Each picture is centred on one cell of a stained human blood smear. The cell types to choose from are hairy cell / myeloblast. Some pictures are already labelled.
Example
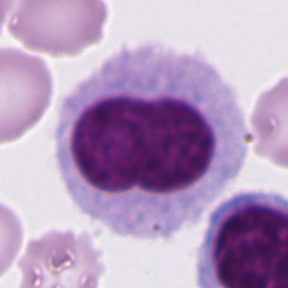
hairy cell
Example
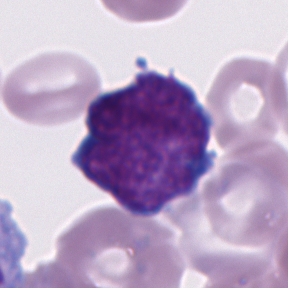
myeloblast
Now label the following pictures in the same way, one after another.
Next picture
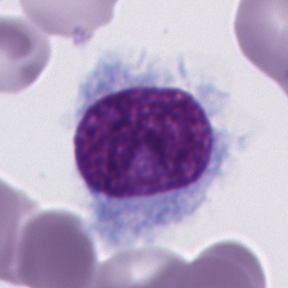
hairy cell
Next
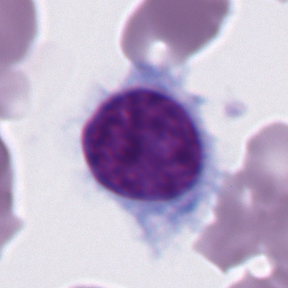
hairy cell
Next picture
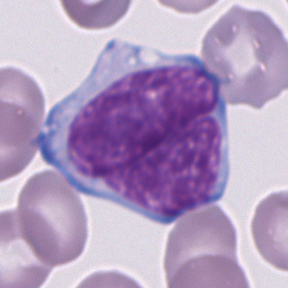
myeloblast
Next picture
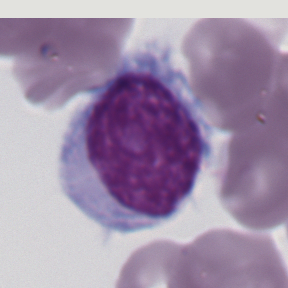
hairy cell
